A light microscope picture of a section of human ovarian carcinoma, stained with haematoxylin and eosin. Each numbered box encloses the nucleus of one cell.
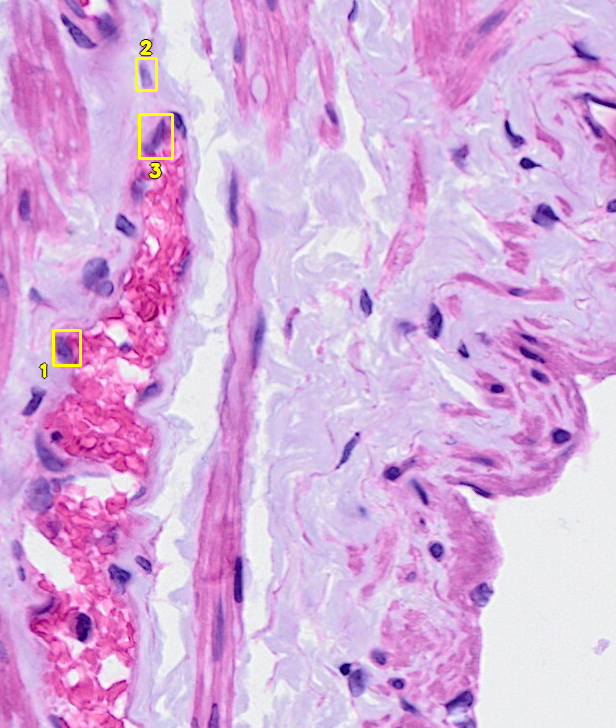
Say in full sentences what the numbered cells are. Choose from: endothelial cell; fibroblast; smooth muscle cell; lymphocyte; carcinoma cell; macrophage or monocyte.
Cells 1 and 3 are endothelial cells. Cell 2 is a fibroblast.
